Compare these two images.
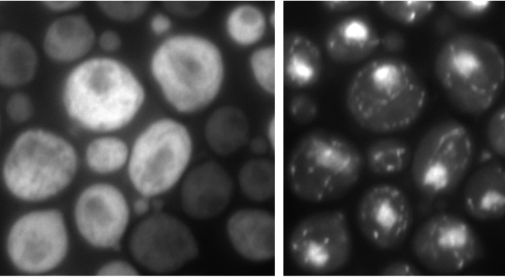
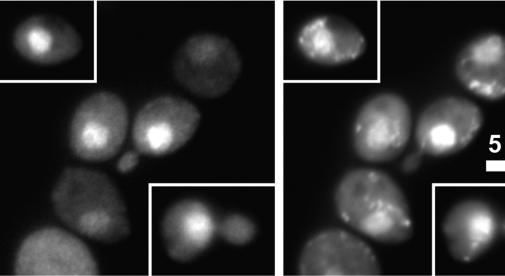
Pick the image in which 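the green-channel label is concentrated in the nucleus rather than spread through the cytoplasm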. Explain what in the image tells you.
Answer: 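The second image. Second image: several cells show a bright central spot in the left image that matches the bright spot in the right image. First image: the left image shows fluorescence filling the cells, without a bright central spot.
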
